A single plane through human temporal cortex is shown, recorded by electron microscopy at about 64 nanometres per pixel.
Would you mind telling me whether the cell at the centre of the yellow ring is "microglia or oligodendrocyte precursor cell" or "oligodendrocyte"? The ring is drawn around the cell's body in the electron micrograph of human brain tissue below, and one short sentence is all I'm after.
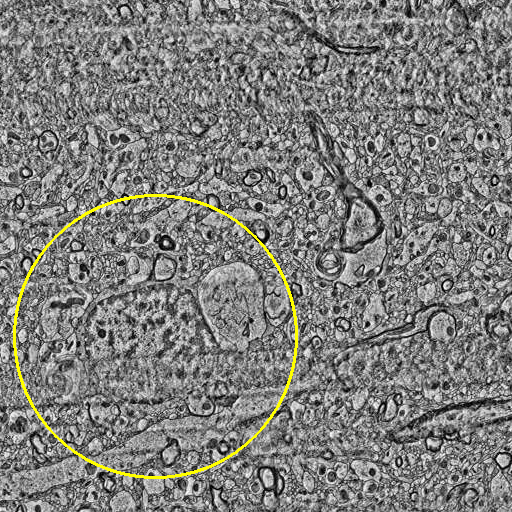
In the centre of the ring lies an oligodendrocyte.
